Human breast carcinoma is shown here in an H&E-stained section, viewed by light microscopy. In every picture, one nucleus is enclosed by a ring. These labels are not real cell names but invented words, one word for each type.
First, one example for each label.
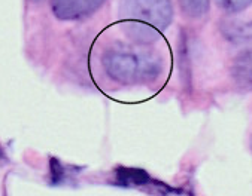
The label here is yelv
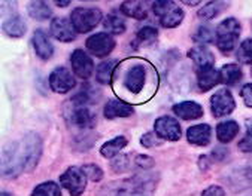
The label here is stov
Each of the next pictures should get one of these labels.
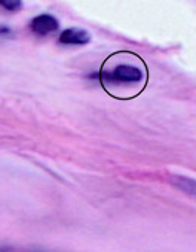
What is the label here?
stov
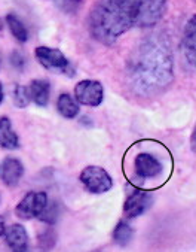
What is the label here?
stov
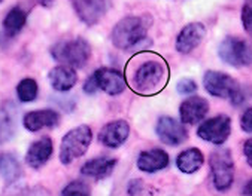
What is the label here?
stov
